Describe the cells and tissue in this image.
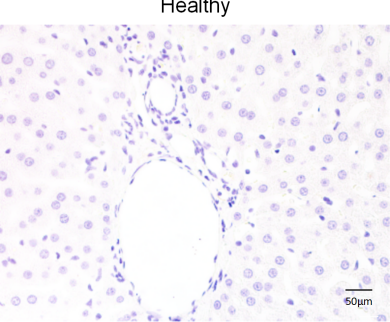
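This is liver tissue made of large polygonal hepatocytes with round, pale, centrally placed nuclei, many holding a distinct nucleolus, and faintly stained pale cytoplasm. The cells are set in cords. Toward the centre lies a large, empty, round vessel lumen with a thin wall, accompanied by a smaller vessel and a band of loose connective tissue crowded with small, dark, elongated nuclei, as in a portal area. Everything is stained only in blue-violet tones; no brown deposit is visible in the hepatocytes or elsewhere.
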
